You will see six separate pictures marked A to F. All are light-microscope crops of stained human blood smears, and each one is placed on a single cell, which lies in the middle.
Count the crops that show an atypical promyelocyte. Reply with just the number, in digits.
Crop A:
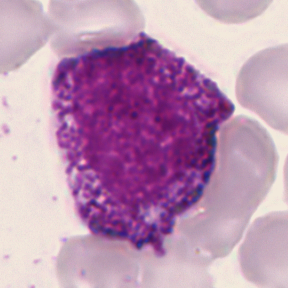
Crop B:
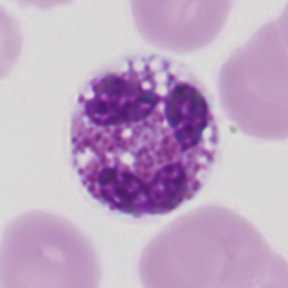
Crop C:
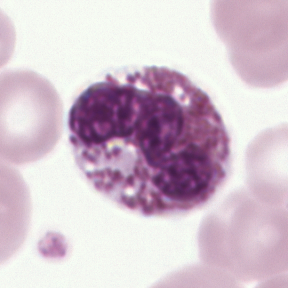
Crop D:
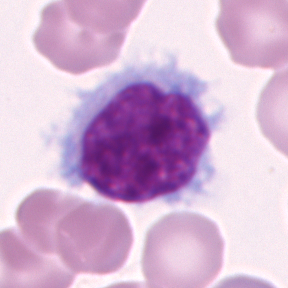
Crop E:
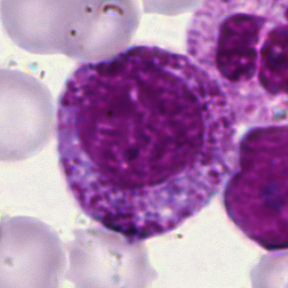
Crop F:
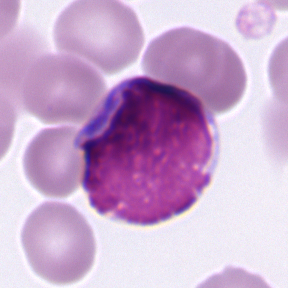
0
